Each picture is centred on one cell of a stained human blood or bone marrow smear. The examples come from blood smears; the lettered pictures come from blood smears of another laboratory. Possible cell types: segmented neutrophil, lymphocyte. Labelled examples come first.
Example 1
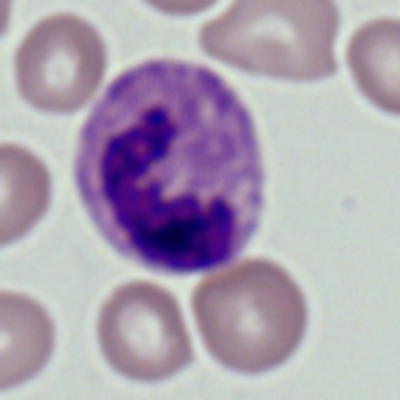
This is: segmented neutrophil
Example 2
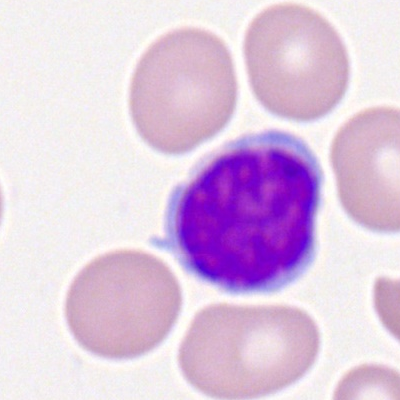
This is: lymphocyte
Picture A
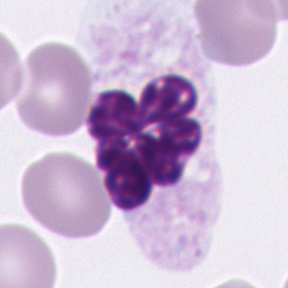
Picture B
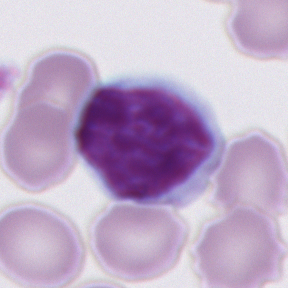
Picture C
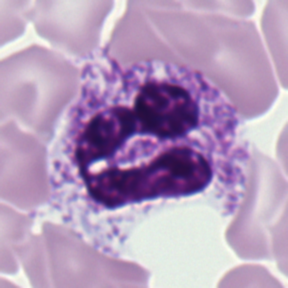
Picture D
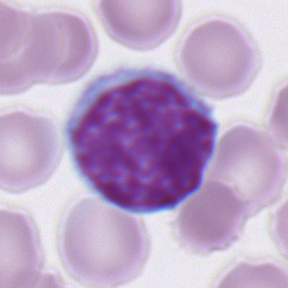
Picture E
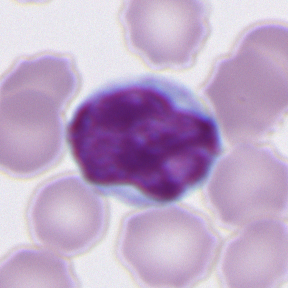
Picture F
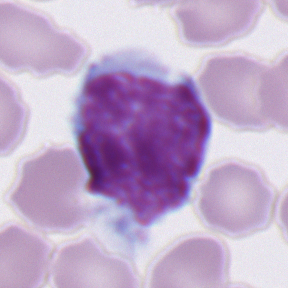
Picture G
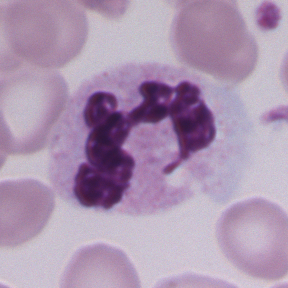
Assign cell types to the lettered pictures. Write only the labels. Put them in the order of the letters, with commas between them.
segmented neutrophil, lymphocyte, segmented neutrophil, lymphocyte, lymphocyte, lymphocyte, segmented neutrophil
